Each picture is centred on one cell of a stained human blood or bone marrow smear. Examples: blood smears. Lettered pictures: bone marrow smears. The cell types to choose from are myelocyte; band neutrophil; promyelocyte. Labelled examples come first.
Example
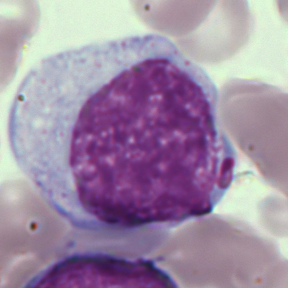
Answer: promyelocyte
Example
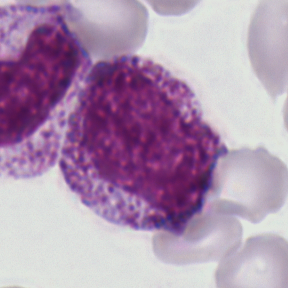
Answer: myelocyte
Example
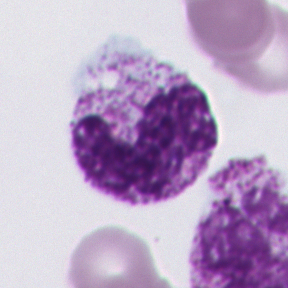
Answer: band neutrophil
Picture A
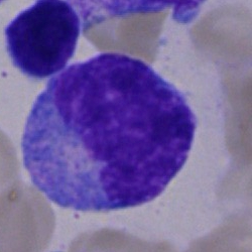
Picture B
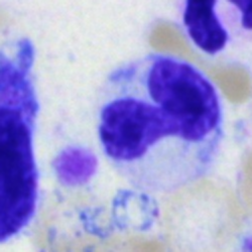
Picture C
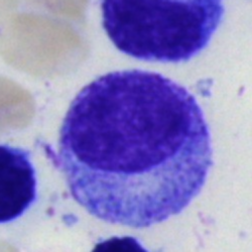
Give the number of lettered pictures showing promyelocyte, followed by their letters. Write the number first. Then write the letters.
2: A, C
